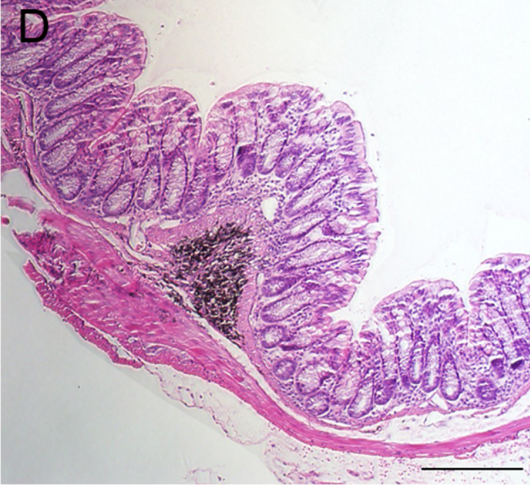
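A section of the colon wall stained pink and purple shows the mucosa with closely packed, elongated crypts lined by columnar epithelium rich in pale goblet cells. The crypts run perpendicular to the surface and the mucosa forms a rounded fold. Beneath the crypts lies a clump of black granular pigment mixed with cells. Below this the wall is closed by a thin pink band of smooth muscle with loose pale tissue outside it.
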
